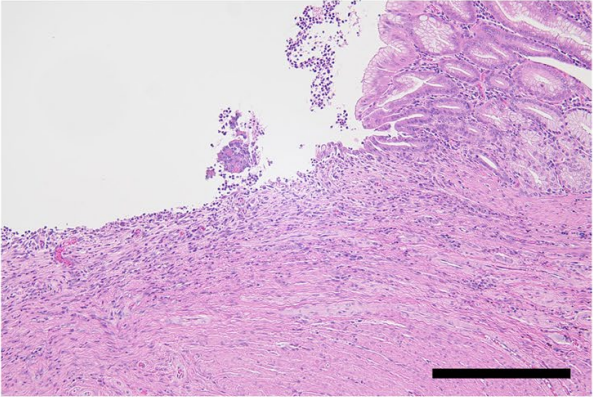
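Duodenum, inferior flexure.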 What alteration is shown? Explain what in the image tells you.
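Glandular mucosa is present on the right but ends abruptly. On the left the surface lacks epithelium and is covered by a cellular, inflamed layer. Dense pink fibrous tissue lies beneath the denuded surface.
Hence: An ulcer.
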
